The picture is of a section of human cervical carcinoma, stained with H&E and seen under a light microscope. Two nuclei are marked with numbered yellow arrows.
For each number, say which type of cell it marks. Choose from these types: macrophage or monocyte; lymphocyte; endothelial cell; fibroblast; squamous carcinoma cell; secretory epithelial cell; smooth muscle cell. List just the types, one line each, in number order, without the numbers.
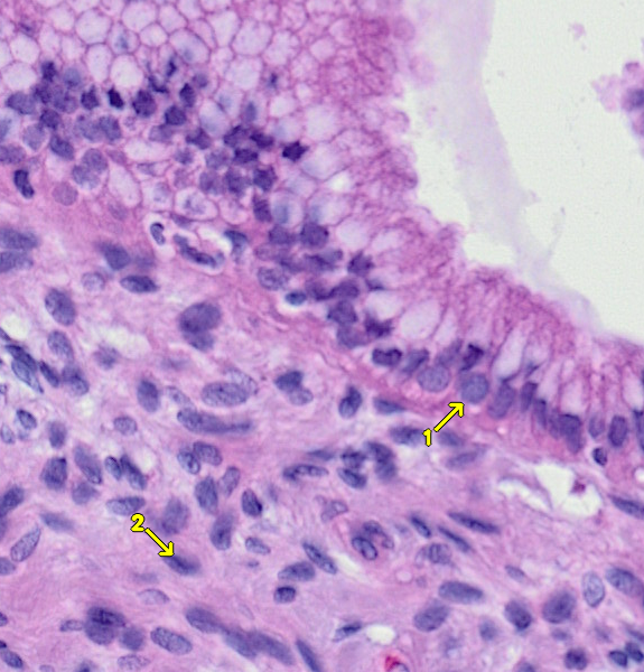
secretory epithelial cell
fibroblast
